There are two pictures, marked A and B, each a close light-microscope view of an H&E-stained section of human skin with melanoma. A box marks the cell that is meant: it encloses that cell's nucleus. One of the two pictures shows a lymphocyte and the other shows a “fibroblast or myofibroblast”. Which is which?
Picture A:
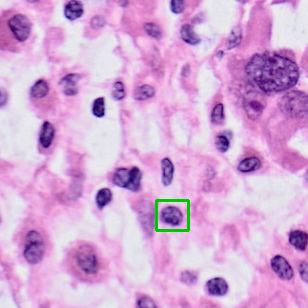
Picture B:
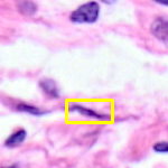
A: lymphocyte
B: fibroblast or myofibroblast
